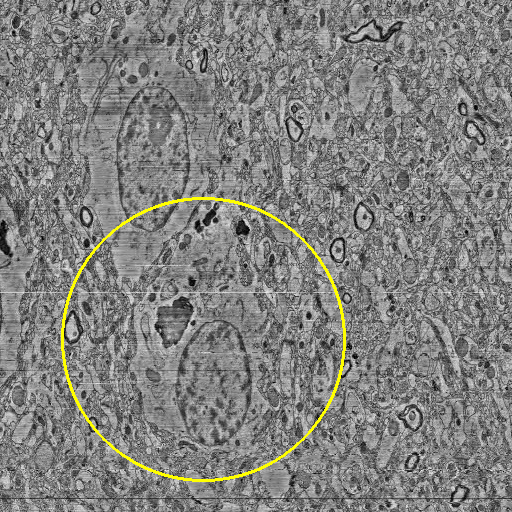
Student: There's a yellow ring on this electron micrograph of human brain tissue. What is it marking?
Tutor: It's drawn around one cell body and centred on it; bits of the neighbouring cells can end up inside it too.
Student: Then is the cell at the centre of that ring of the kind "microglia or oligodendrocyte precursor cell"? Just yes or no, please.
no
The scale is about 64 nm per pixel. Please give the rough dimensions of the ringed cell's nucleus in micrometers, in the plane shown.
About 8 by 5 micrometres in this plane; clearly longer than it is wide.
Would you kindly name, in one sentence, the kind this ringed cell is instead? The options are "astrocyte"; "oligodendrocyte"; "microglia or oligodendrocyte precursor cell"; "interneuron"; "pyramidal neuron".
The cell at the ring centre is an astrocyte.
